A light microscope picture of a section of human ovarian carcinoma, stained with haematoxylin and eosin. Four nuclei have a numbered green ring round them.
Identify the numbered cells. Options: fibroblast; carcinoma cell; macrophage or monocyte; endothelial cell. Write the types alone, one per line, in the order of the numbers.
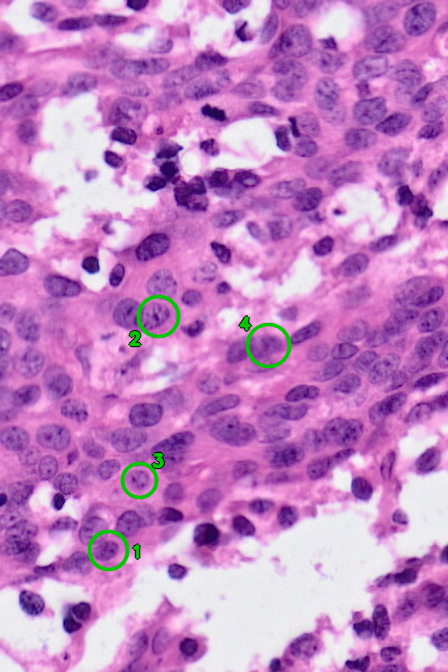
carcinoma cell
carcinoma cell
macrophage or monocyte
carcinoma cell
